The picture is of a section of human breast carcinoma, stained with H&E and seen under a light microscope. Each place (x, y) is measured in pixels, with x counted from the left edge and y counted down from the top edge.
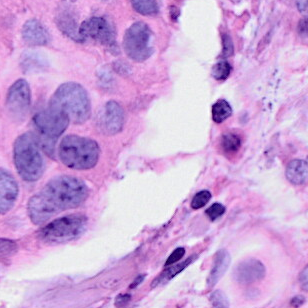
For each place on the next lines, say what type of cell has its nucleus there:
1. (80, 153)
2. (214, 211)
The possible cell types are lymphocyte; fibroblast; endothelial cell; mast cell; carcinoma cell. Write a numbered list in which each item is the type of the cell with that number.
1. carcinoma cell
2. lymphocyte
